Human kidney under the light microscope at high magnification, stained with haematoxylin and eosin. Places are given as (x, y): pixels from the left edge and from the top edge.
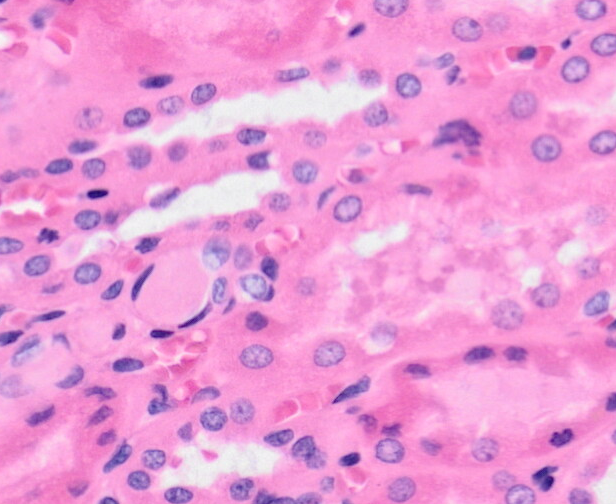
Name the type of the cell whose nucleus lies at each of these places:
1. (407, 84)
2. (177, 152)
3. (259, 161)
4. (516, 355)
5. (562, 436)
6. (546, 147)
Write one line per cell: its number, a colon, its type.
1: loop of Henle or distal tubule cell
2: loop of Henle or distal tubule cell
3: loop of Henle or distal tubule cell
4: proximal tubule cell
5: proximal tubule cell
6: proximal tubule cell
